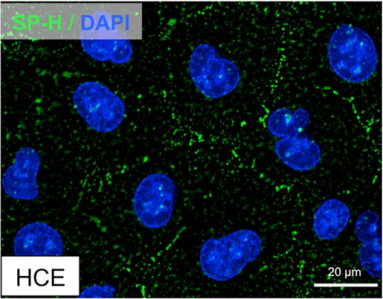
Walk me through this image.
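Fine green dots are spread widely over the field between the nuclei. In places the green dots line up into short beaded lines, which appear to follow the borders between cells.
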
